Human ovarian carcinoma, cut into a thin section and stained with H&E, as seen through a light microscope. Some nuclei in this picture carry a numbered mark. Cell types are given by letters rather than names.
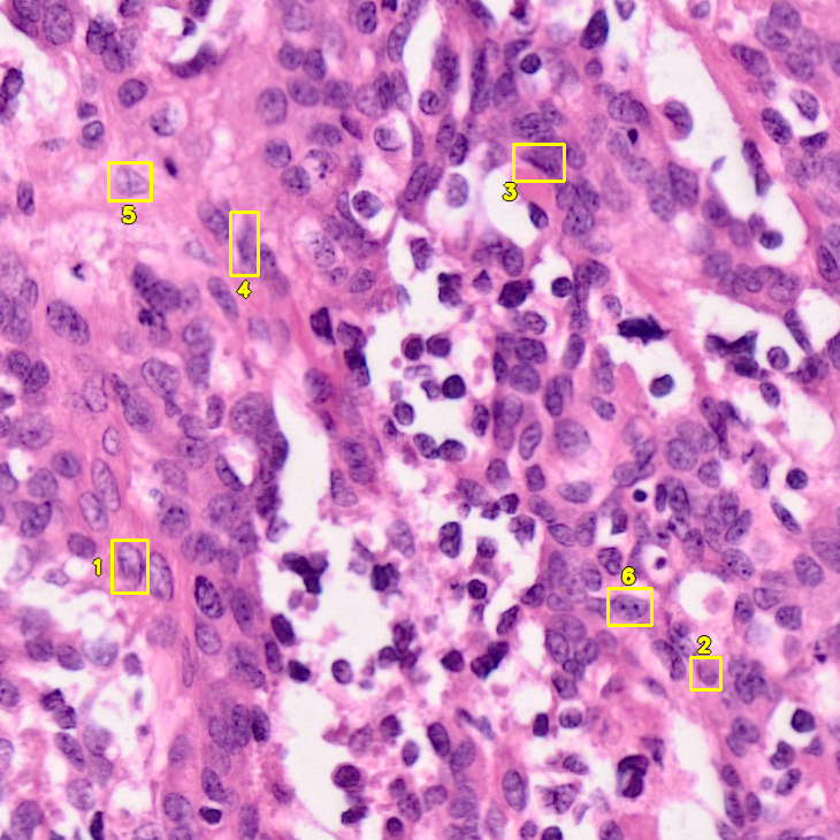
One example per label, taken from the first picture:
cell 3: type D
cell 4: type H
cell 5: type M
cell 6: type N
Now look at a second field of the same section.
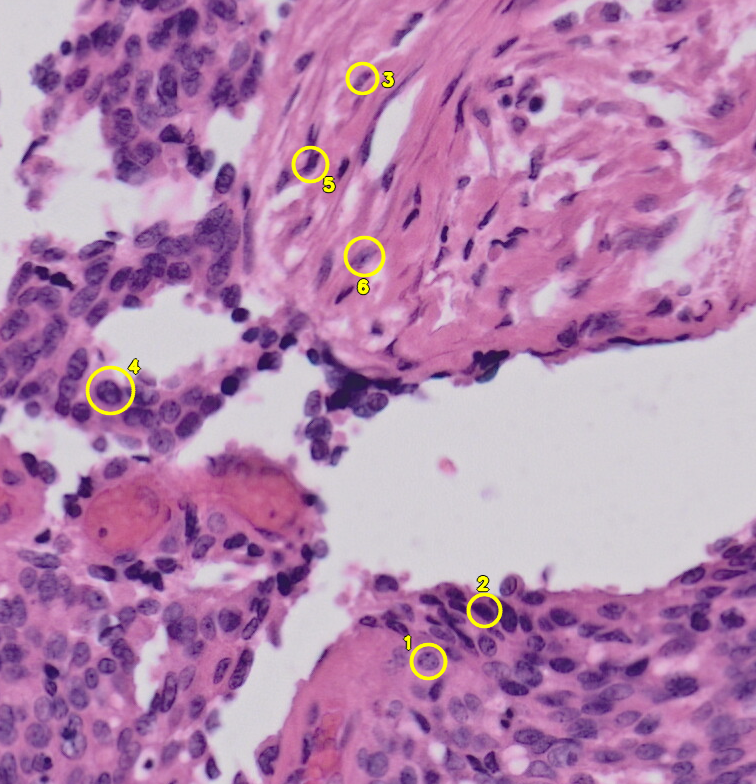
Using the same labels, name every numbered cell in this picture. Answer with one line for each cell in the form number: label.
1: type N
2: type D
3: type M
4: type D
5: type M
6: type M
